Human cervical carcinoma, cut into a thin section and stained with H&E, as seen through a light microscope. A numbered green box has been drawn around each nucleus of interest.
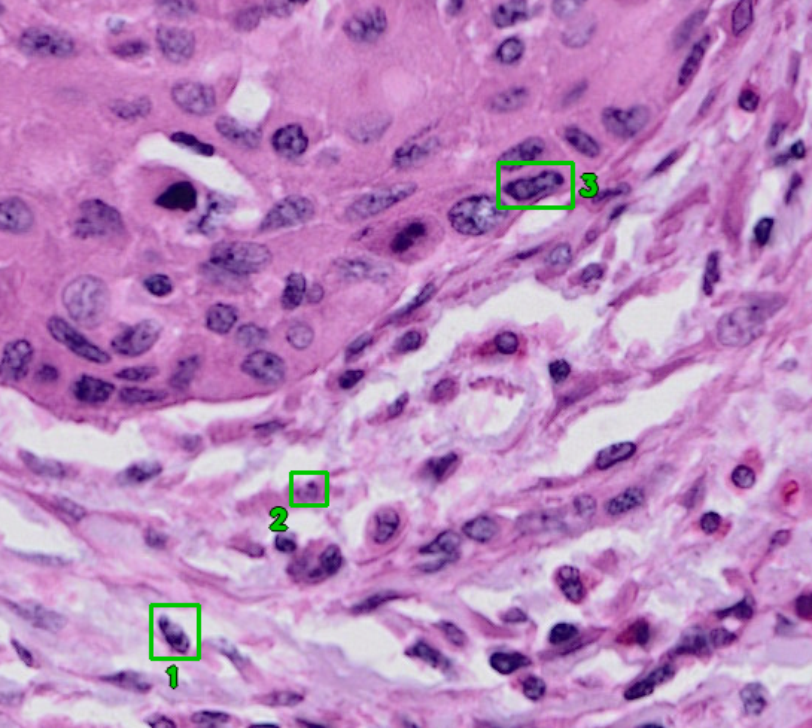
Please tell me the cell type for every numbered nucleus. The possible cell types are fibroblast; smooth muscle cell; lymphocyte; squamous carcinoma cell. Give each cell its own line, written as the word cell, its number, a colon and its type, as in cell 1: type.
cell 1: lymphocyte
cell 2: fibroblast
cell 3: squamous carcinoma cell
